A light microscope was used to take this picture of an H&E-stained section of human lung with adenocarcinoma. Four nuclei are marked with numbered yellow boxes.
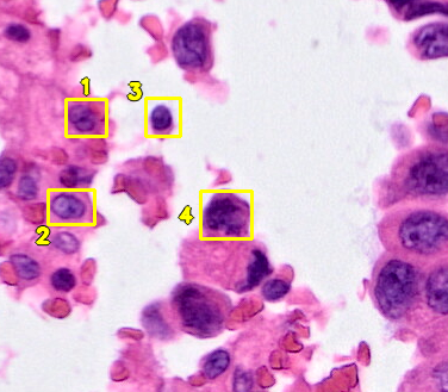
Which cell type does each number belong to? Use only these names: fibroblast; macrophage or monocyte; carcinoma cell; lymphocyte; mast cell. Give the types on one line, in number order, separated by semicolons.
macrophage or monocyte; macrophage or monocyte; lymphocyte; carcinoma cell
